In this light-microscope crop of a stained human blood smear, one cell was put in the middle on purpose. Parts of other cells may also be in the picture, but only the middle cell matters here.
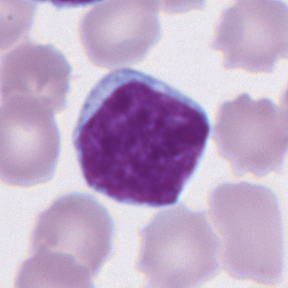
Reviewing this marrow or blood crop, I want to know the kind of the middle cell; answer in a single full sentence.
Classified as a typical lymphocyte is the cell in the middle of this crop.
